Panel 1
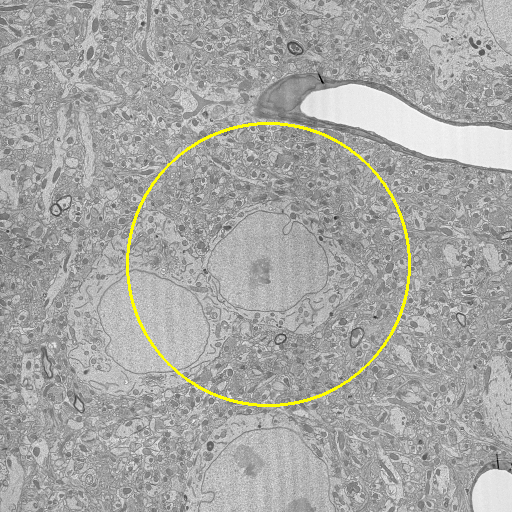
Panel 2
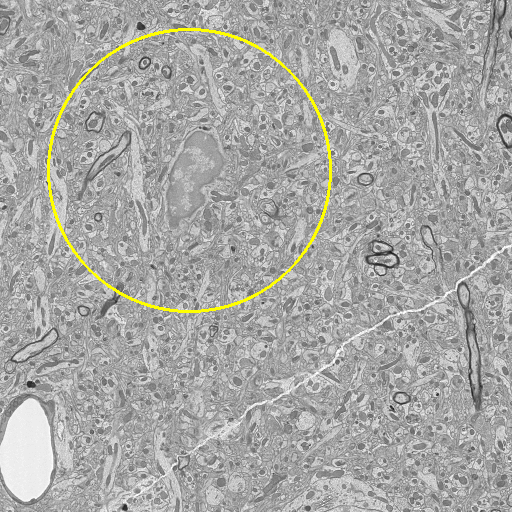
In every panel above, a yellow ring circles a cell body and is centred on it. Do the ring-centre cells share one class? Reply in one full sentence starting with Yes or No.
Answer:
No, the two cells at the ring centres in the panels belong to two classes.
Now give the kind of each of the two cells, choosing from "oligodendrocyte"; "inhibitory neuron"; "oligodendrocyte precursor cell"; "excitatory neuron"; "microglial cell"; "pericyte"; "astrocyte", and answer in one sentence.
The cell in the first picture is an excitatory neuron, and the cell in the second is a microglial cell.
